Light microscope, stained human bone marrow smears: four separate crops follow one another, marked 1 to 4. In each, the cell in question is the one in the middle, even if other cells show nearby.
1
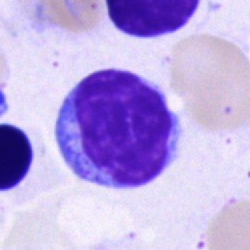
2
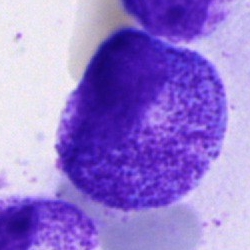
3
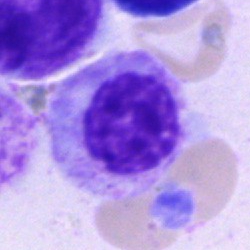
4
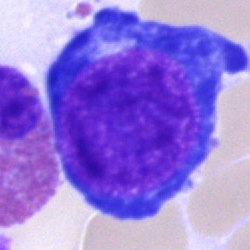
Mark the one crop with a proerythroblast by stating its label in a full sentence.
The requested cell, a proerythroblast, is the one in crop 4.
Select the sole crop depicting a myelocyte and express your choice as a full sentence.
Crop 3 is the one that shows a myelocyte.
